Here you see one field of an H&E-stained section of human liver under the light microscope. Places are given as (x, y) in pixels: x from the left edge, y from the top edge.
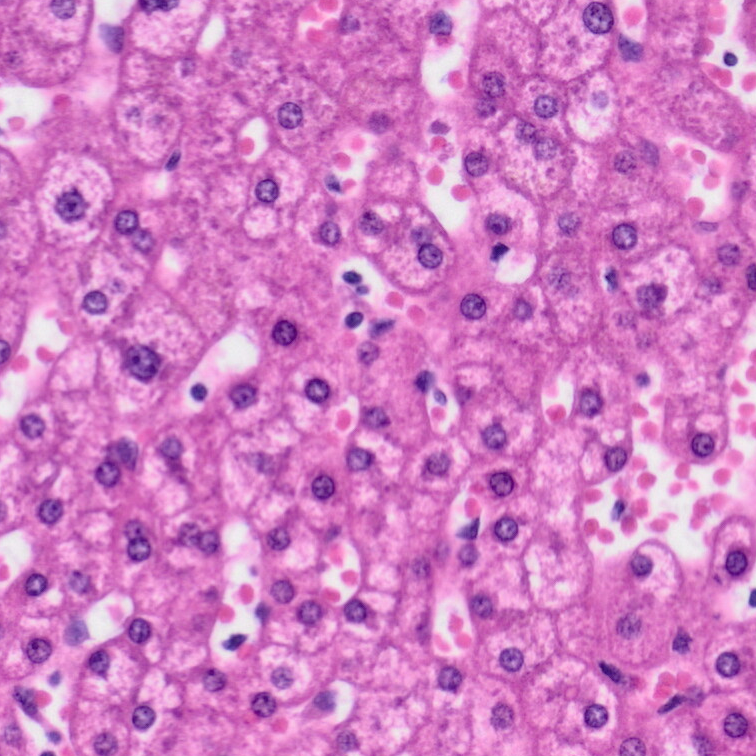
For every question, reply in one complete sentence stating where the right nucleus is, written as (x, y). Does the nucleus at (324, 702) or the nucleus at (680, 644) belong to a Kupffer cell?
Assigned to a Kupffer cell is the nucleus located at (324, 702).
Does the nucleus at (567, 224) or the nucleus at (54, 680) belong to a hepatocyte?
It is at (567, 224) that the nucleus of a hepatocyte is found.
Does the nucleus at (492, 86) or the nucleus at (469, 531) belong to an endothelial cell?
Heads up, the nucleus at (469, 531) is the one that belongs to an endothelial cell.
